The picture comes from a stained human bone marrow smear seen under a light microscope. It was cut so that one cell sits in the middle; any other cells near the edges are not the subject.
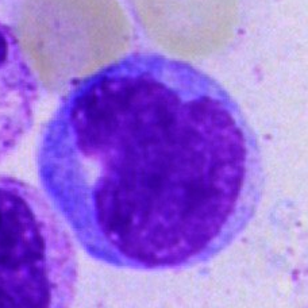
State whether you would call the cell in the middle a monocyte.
yes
